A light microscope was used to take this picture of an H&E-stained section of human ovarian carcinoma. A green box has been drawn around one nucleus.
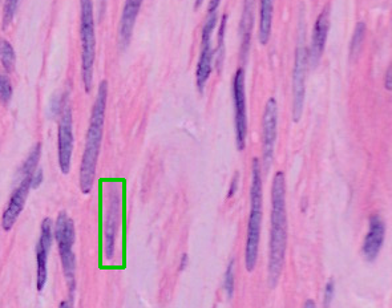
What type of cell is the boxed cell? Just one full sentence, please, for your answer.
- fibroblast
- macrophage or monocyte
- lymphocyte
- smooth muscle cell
In the tissue under study, the boxed cell is a smooth muscle cell.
